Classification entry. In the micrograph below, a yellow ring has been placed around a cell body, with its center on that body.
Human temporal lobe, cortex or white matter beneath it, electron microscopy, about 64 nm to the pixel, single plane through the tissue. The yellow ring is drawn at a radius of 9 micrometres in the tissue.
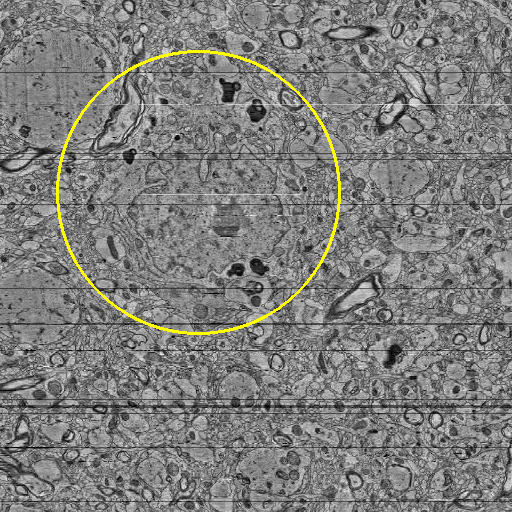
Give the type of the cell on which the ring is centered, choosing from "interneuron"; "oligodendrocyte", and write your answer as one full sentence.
The cell body at the center of the yellow ring belongs to an interneuron.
